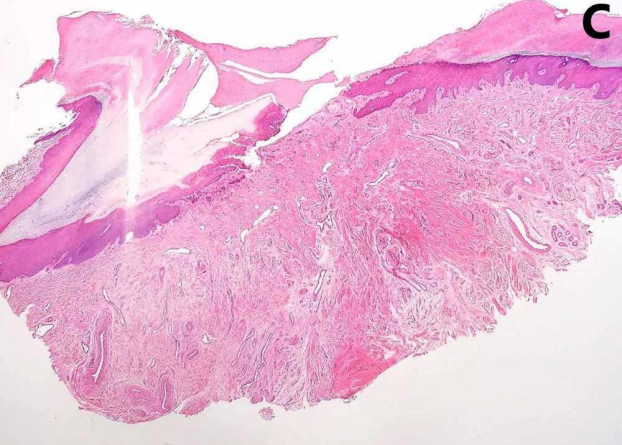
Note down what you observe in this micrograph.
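A longitudinal strip of tissue shows a pale pink, layered keratin plate at the upper left, partly split and lifted off. Beneath it runs a band of deep purple-staining stratified epithelium, which continues toward the right as a thinner layer under pink keratin. Below the epithelium lies a broad zone of dense pink connective tissue crossed by many small vessels and clefts. No distinct pigment-laden or clear-haloed cells stand out along the base of the epithelium at this magnification.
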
